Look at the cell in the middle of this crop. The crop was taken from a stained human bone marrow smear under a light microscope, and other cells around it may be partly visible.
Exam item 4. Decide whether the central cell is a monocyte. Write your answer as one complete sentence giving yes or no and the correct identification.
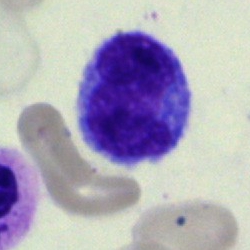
Yes, the cell at the centre of this crop is identified as a monocyte.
